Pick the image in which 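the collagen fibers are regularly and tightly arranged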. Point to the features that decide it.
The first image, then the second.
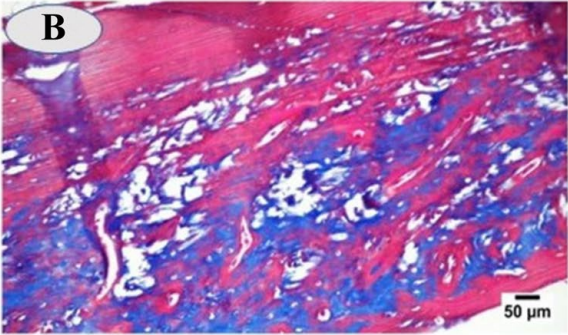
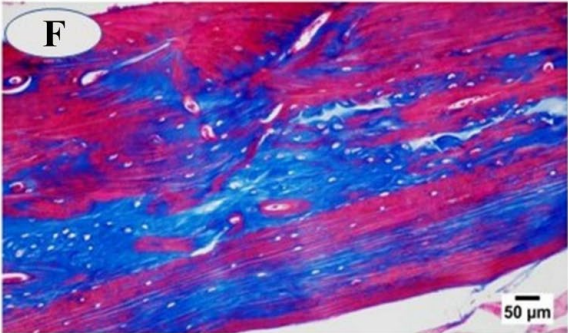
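Second image: red and blue lamellae run in long parallel bands with few gaps. First image: the matrix is broken by many irregular white spaces and the bands are disorganised. On this evidence: the second image.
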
